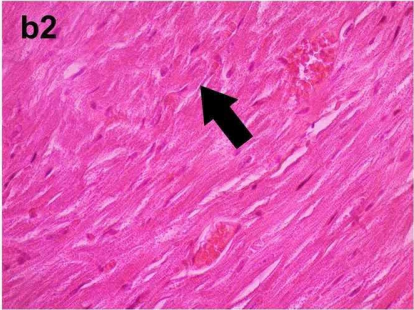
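Heart muscle in which pink cardiac muscle fibers with elongated purple nuclei run mostly obliquely. Small vessels filled with red blood cells lie between the fibers at the upper right and lower middle.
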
